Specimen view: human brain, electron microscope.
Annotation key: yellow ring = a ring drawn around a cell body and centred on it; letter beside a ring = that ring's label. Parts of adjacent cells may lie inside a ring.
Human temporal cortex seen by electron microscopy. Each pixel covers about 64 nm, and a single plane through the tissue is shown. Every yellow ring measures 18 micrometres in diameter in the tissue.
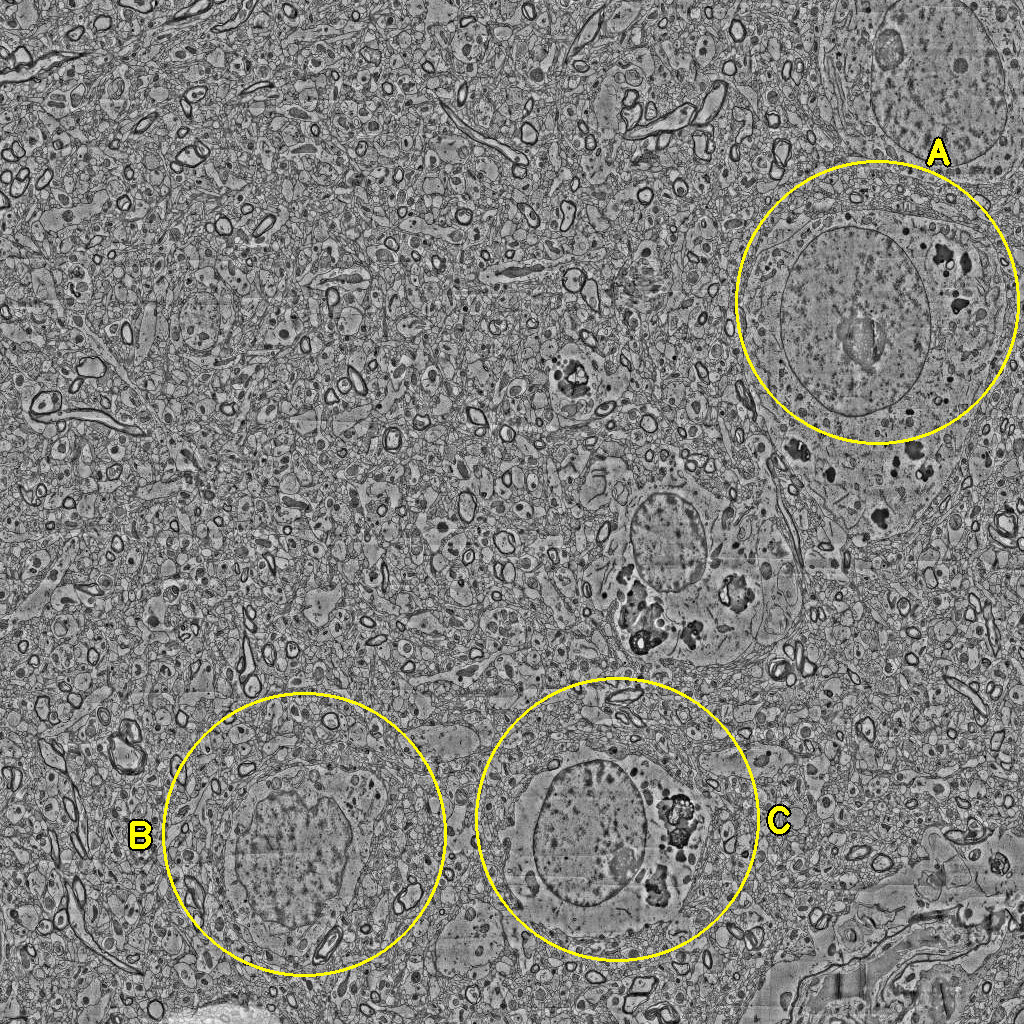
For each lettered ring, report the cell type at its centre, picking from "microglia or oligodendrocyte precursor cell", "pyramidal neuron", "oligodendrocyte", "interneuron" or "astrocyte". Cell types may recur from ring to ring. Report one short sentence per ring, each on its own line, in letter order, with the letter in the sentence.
The cell at the centre of ring A is a pyramidal neuron.
The cell at the centre of ring B is an interneuron.
The cell at the centre of ring C is an astrocyte.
